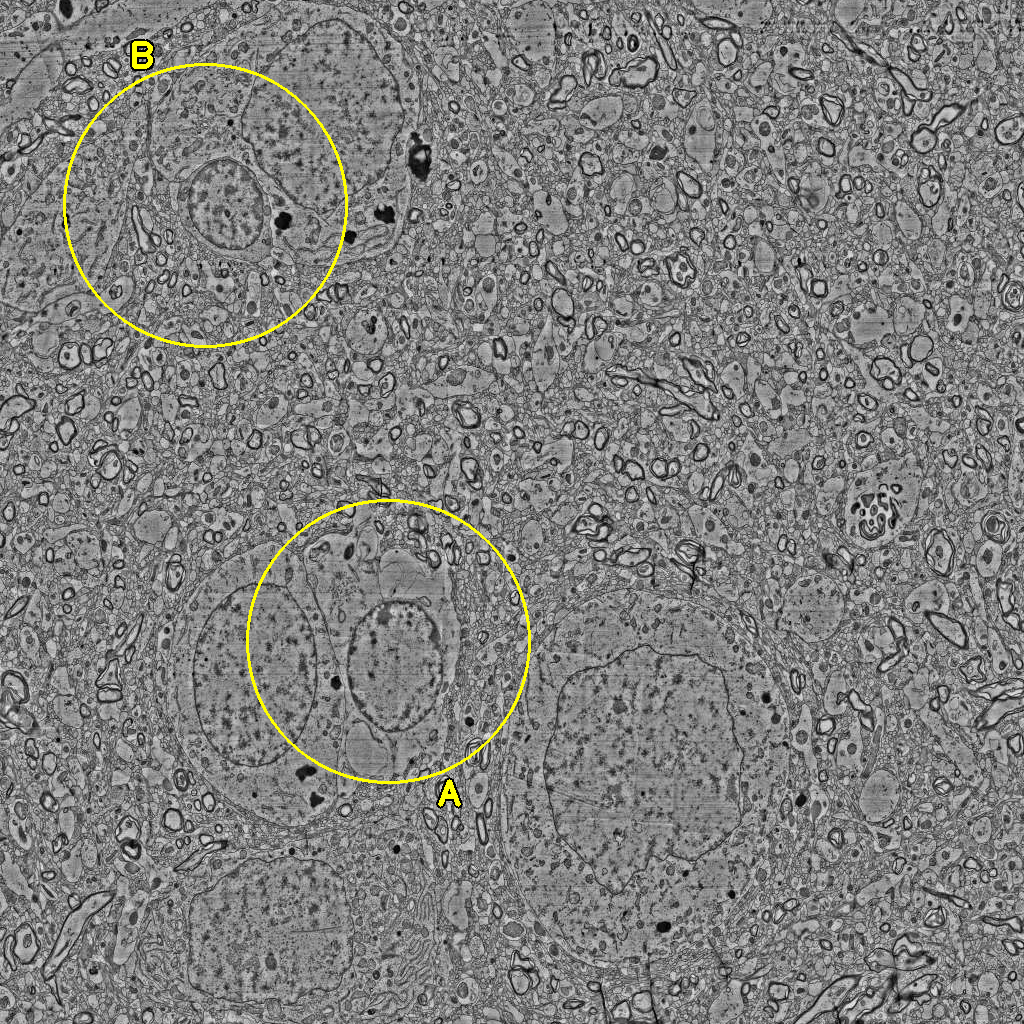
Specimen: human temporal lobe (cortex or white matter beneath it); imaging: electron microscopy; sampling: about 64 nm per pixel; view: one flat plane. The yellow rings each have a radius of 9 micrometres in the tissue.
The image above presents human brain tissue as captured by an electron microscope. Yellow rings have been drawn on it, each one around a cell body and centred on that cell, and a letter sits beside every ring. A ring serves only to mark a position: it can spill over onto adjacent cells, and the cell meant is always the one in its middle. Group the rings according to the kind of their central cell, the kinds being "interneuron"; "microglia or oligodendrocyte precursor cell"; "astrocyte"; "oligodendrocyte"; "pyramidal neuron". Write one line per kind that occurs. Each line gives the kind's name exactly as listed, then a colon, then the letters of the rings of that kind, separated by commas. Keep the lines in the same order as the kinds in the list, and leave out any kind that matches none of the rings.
astrocyte: A
oligodendrocyte: B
